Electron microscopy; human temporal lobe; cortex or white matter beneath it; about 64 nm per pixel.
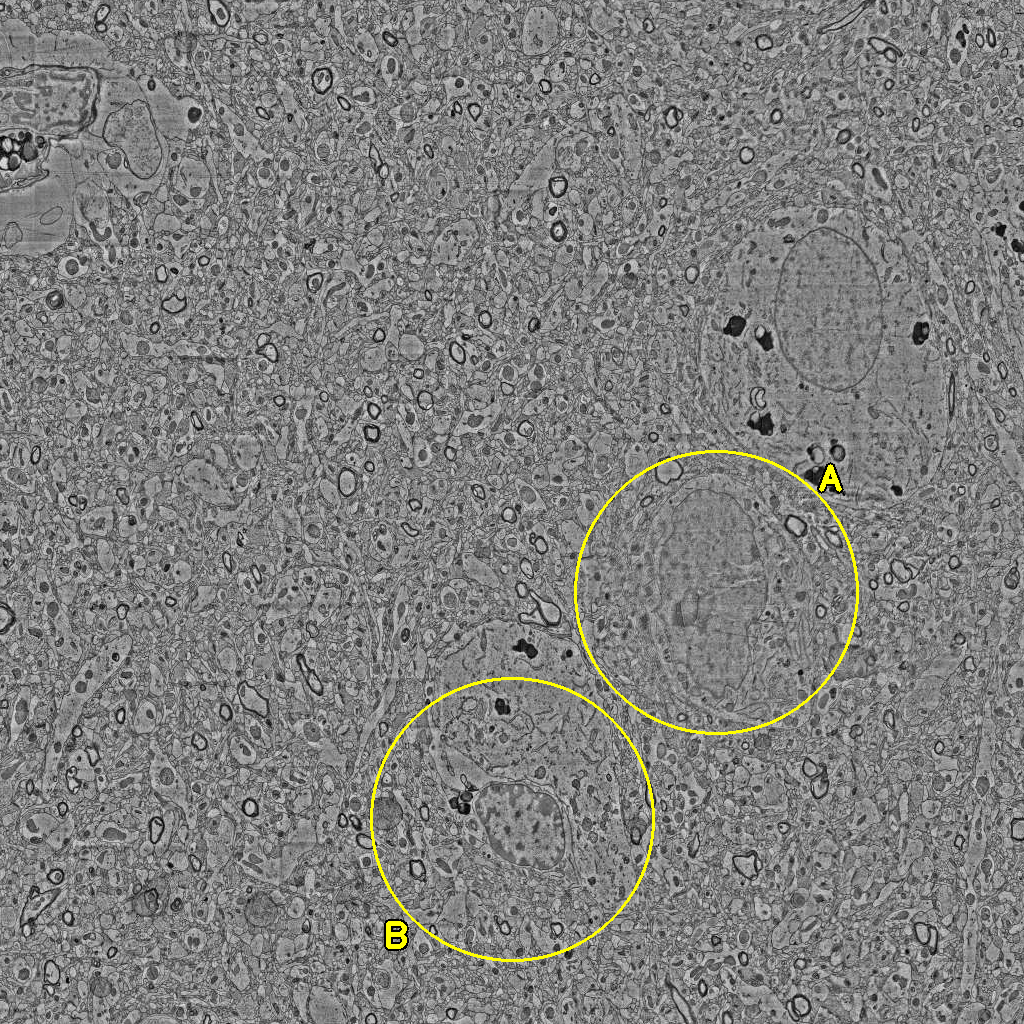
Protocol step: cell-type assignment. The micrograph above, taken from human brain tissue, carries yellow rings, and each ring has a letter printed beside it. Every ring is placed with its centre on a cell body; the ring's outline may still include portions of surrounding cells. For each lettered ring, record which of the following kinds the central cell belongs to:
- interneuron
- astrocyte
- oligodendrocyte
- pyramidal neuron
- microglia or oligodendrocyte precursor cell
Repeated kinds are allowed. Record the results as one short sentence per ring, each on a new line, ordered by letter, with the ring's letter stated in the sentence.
In ring A, the central cell is an interneuron.
In ring B, the central cell is a microglial cell or oligodendrocyte precursor cell.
